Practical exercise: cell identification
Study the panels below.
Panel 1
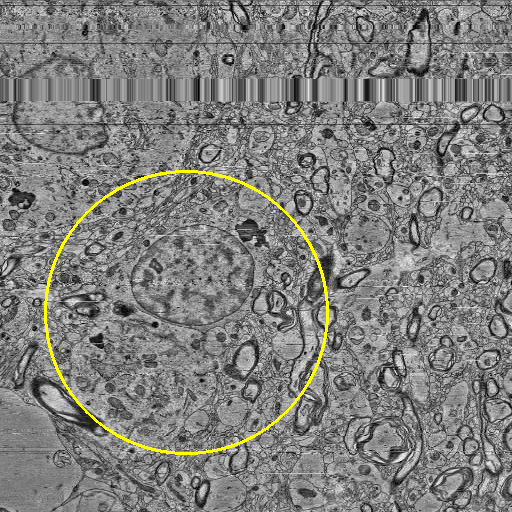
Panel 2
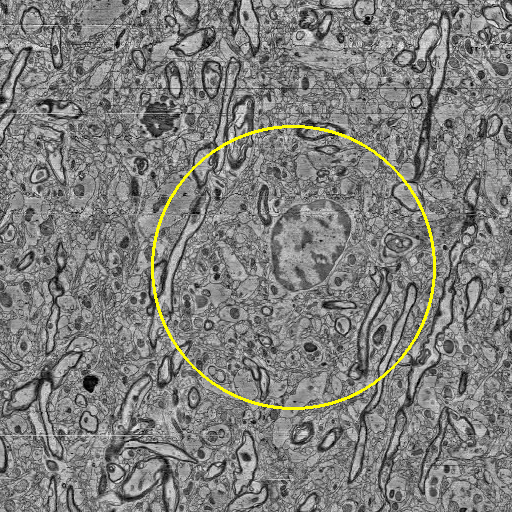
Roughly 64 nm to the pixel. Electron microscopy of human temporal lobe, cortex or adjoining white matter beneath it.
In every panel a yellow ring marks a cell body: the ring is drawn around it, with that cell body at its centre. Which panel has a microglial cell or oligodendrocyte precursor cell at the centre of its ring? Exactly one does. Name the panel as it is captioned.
Panel 2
